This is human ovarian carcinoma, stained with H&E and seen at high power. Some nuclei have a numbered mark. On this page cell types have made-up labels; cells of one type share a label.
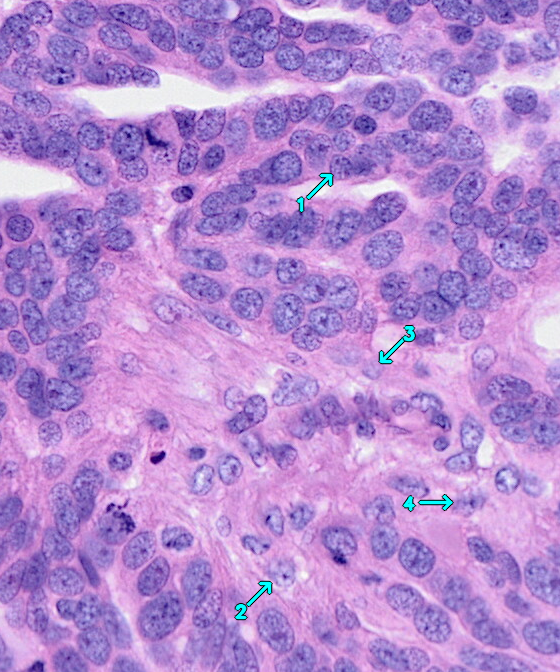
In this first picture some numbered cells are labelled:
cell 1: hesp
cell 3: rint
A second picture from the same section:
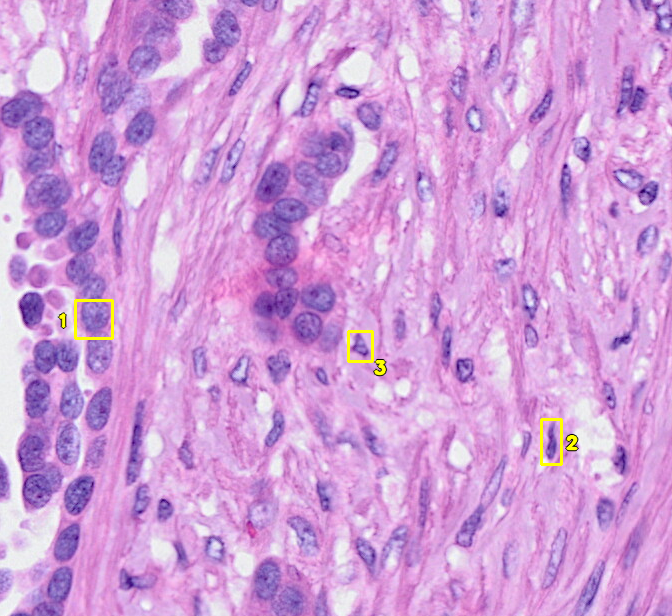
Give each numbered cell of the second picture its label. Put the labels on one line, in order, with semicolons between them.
hesp; rint; rint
